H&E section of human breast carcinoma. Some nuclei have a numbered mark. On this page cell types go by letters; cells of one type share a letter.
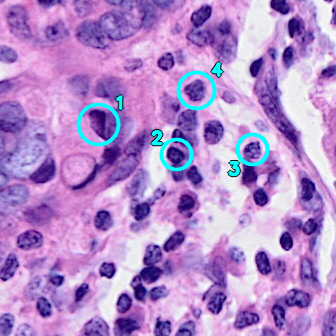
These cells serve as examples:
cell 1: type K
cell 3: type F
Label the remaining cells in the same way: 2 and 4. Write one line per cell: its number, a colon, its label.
2: type F
4: type F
